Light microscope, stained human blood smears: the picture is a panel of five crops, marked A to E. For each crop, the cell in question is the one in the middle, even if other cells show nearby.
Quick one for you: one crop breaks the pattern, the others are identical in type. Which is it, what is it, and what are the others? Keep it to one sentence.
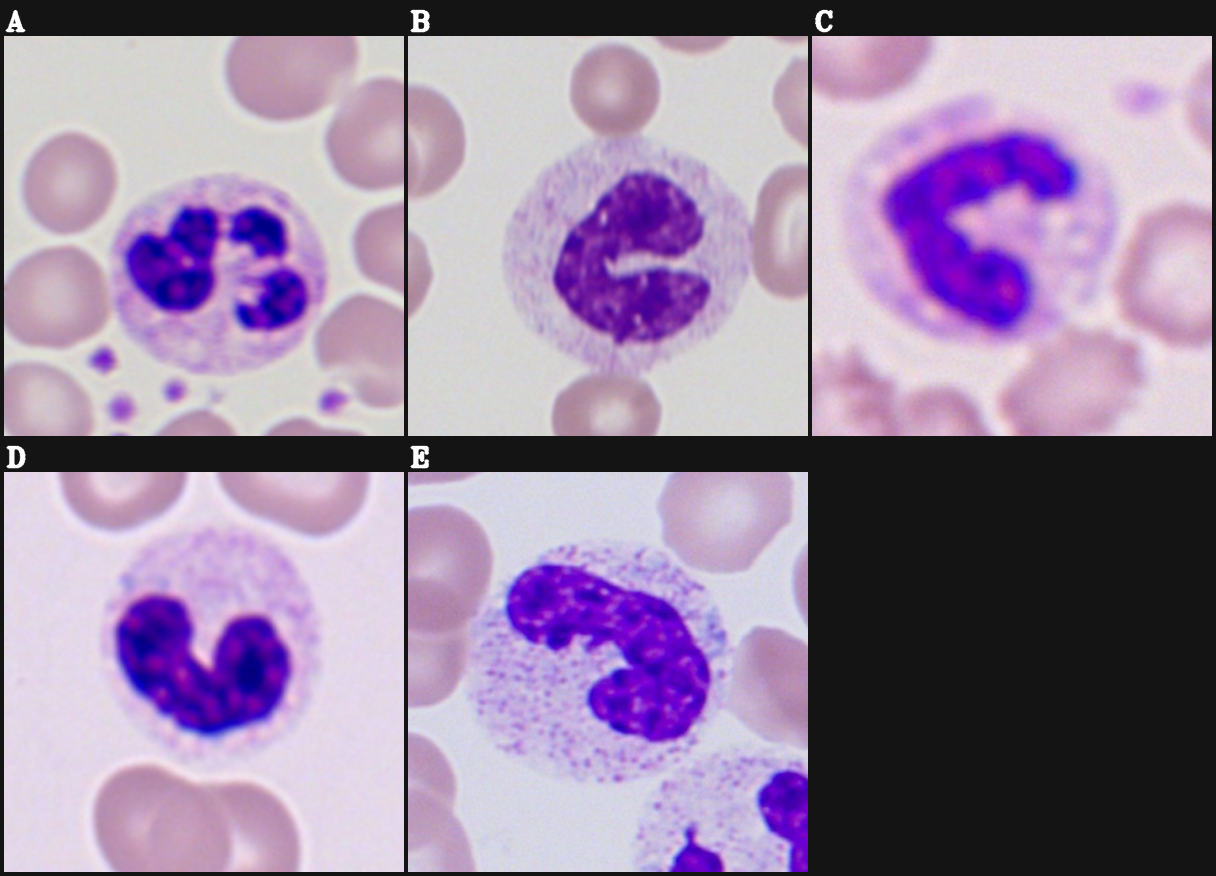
The rest of the crops show band neutrophils; crop A is the one showing a segmented neutrophil.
